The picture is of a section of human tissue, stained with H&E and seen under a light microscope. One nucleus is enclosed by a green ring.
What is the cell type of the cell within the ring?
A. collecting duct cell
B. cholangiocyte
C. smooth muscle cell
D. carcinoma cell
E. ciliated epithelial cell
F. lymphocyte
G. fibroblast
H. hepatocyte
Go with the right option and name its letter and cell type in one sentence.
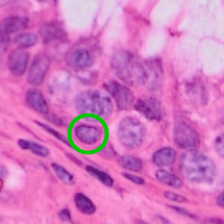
Option E is correct in that the cell within the ring is a ciliated epithelial cell.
